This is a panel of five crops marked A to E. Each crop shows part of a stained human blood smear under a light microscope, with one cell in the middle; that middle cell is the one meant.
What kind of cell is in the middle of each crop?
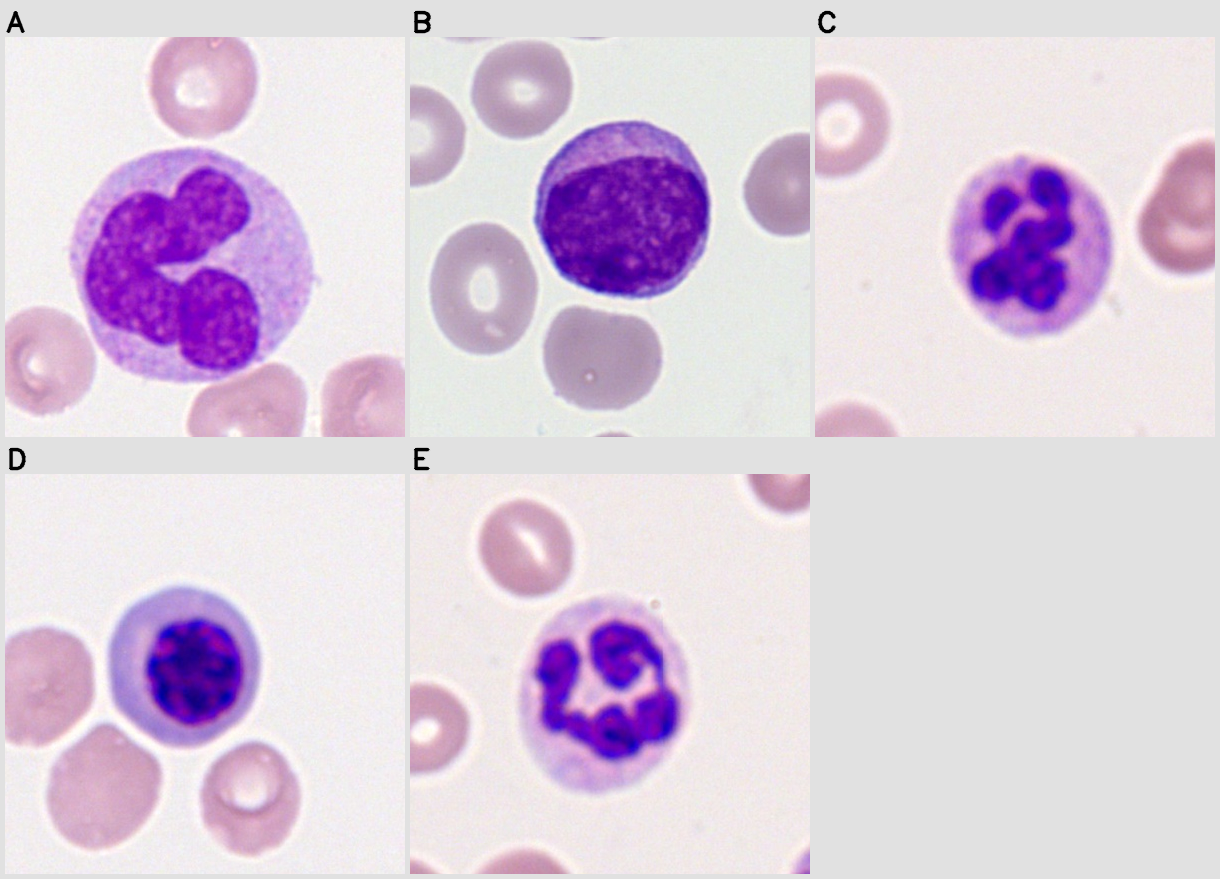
A: monocyte
B: myeloblast
C: segmented neutrophil
D: erythroblast
E: segmented neutrophil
